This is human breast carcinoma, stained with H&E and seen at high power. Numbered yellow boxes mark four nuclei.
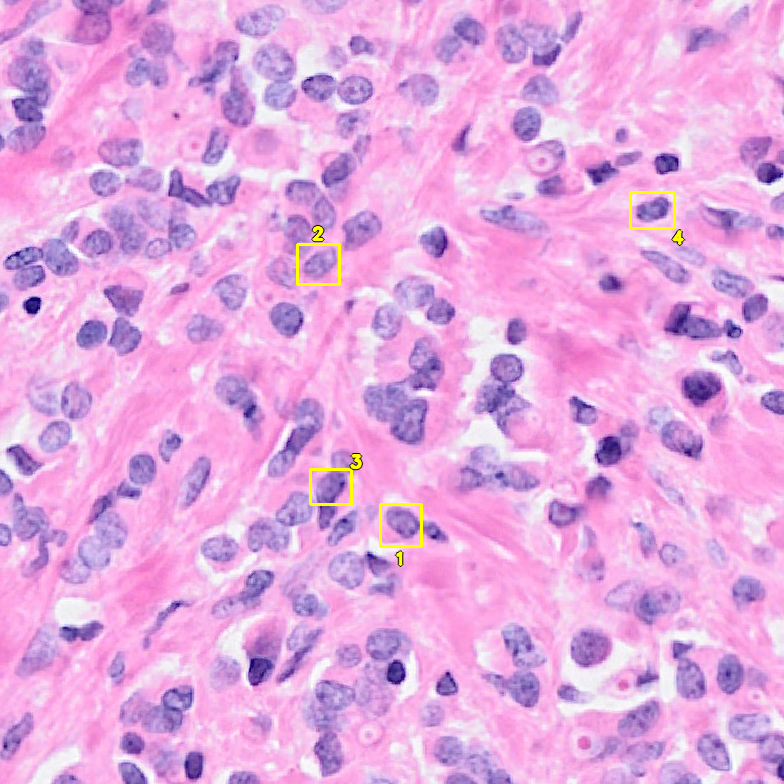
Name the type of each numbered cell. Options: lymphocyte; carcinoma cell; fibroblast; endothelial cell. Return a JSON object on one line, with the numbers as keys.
{"1": "carcinoma cell", "2": "carcinoma cell", "3": "carcinoma cell", "4": "lymphocyte"}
